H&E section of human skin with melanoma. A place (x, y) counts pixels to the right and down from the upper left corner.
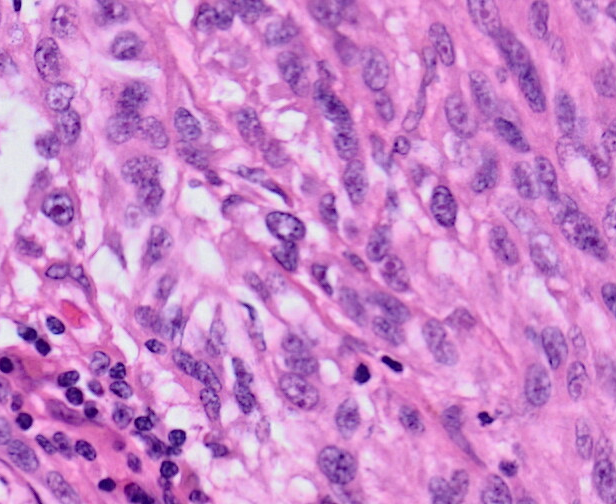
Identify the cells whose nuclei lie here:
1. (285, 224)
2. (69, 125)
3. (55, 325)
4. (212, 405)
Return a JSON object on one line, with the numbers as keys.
{"1": "melanoma cell", "2": "melanoma cell", "3": "lymphocyte", "4": "melanoma cell"}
